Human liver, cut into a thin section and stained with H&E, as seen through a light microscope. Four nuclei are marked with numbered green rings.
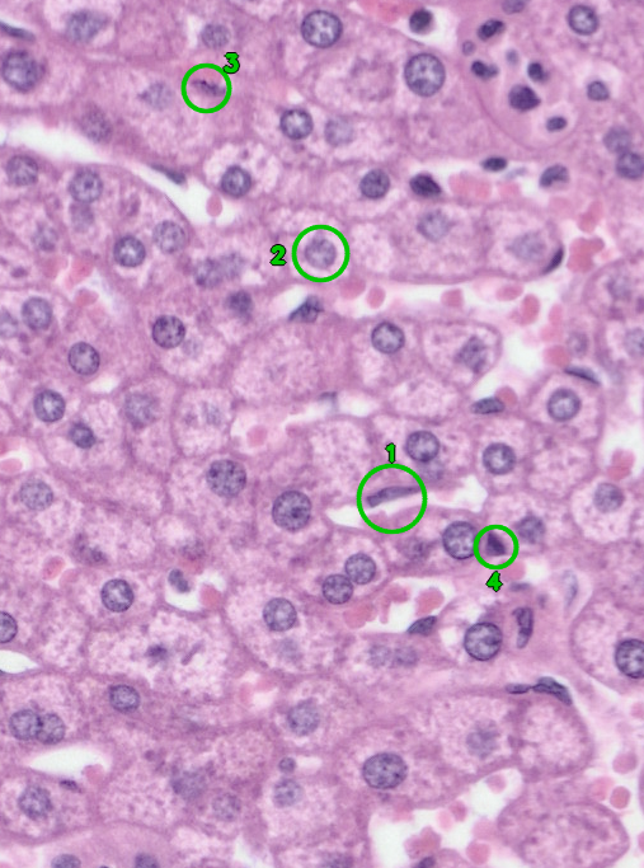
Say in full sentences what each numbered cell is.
Cell 1 is a Kupffer cell, cell 2 is a hepatocyte, cell 3 is an endothelial cell and cell 4 is a fibroblast or stellate cell.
